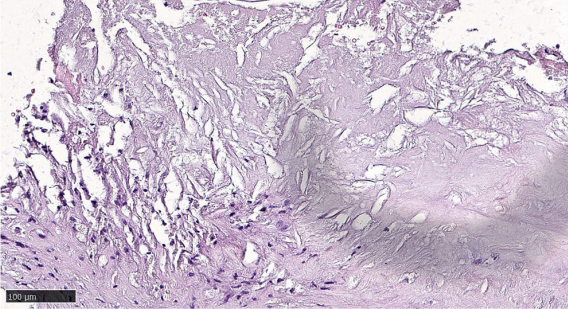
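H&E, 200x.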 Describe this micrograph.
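This is necrotic material with many empty, slit-like and angular clefts lying in pale pink-purple amorphous debris. Toward the lower left it borders denser fibrous tissue containing scattered elongated and dark nuclei.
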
